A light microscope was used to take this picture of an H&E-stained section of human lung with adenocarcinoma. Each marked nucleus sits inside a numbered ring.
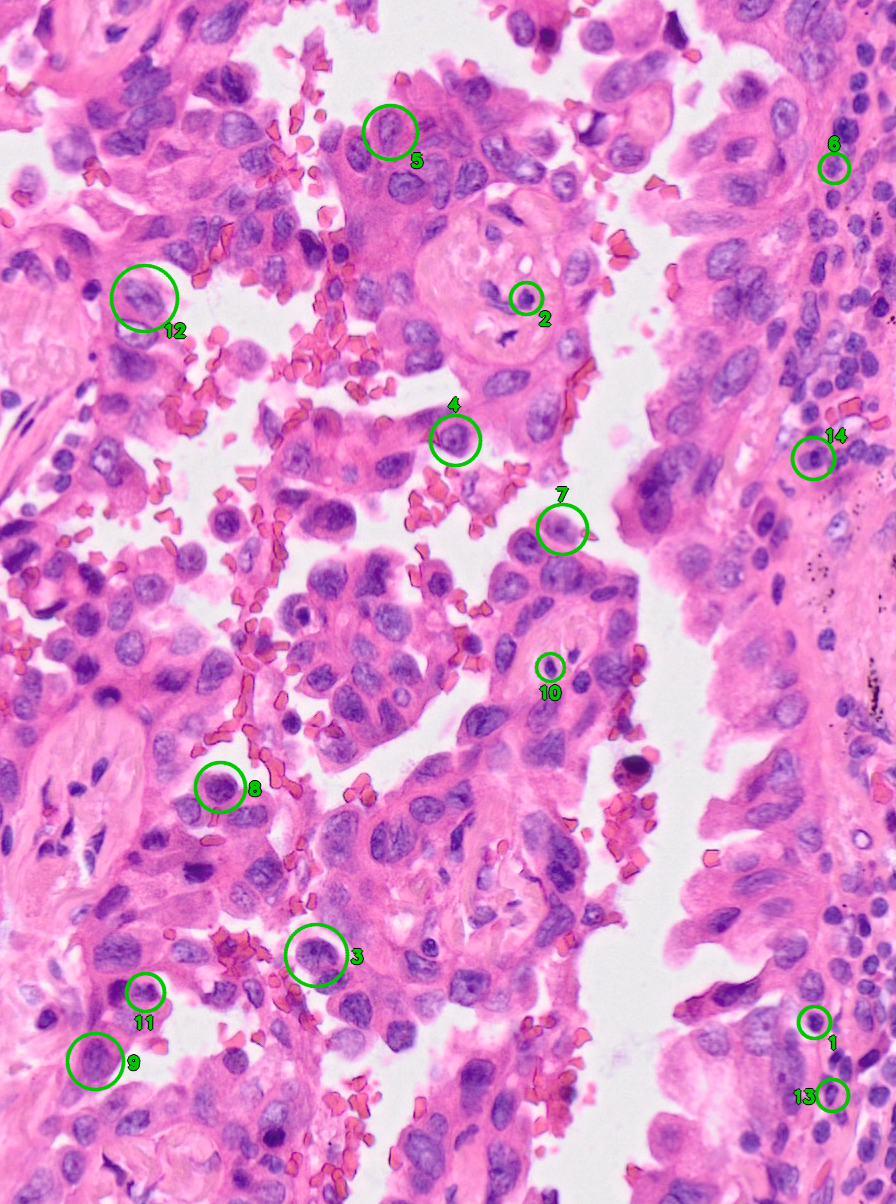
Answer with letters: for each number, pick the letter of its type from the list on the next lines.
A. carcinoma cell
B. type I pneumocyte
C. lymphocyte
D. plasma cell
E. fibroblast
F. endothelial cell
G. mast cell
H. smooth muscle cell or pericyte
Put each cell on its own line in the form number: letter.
1: C
2: C
3: A
4: A
5: A
6: C
7: A
8: A
9: A
10: C
11: A
12: A
13: C
14: C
